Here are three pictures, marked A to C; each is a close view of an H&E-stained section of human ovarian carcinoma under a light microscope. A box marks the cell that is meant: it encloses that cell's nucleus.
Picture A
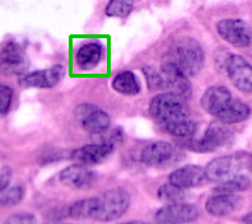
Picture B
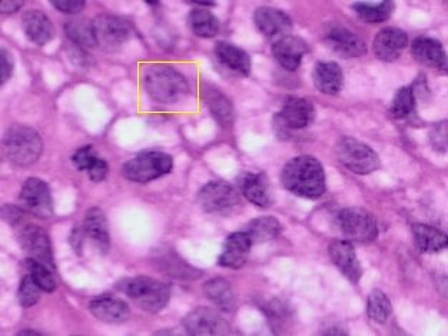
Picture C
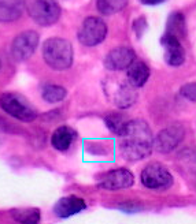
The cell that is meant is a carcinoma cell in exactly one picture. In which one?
B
